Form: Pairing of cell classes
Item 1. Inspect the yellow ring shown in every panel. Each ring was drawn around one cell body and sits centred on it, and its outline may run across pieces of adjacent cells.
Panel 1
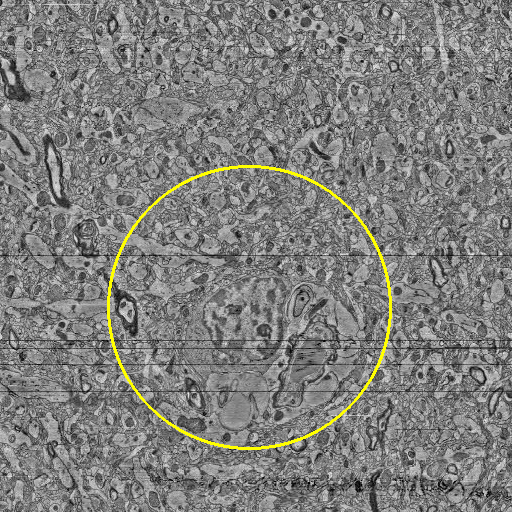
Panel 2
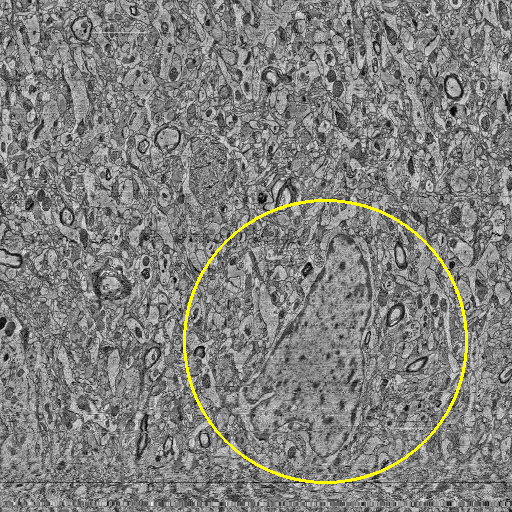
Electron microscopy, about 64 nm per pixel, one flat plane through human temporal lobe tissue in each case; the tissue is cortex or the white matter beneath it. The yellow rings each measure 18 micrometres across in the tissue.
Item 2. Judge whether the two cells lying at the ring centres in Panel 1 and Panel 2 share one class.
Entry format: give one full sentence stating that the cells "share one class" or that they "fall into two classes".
The cells at the ring centres in Panel 1 and Panel 2 fall into two classes.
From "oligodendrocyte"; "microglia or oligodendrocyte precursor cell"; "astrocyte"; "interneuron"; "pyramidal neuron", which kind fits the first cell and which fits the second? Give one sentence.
The cell marked in the first picture is an oligodendrocyte, and the one marked in the second is a microglial cell or oligodendrocyte precursor cell.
